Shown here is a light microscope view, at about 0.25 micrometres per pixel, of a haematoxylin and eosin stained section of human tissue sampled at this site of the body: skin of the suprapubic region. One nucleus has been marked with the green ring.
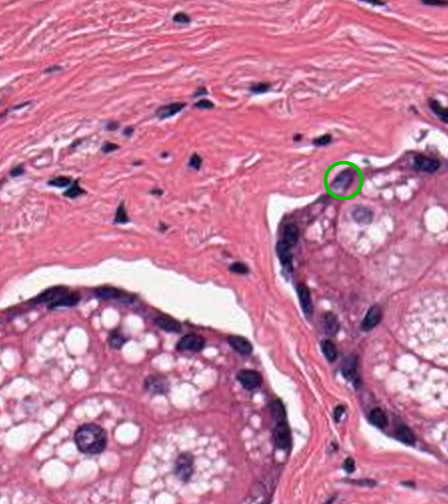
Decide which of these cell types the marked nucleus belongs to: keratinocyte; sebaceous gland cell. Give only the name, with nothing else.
sebaceous gland cell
